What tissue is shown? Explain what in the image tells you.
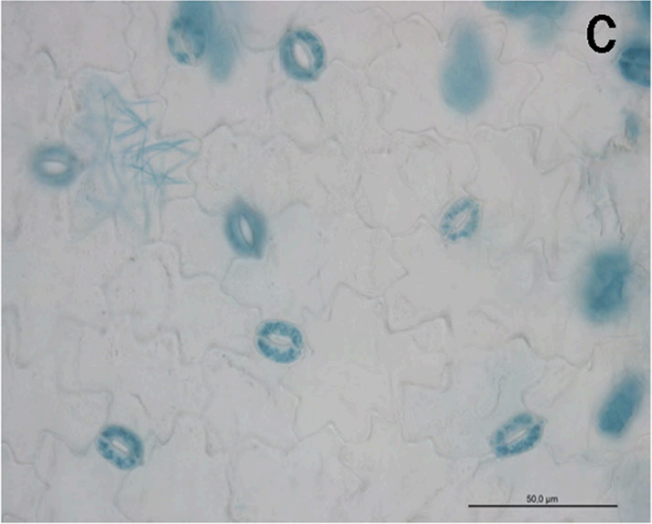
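A single flat layer of cells with wavy, interlocking walls. Paired oval cells with a central slit are scattered among them. On this evidence: epidermis.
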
